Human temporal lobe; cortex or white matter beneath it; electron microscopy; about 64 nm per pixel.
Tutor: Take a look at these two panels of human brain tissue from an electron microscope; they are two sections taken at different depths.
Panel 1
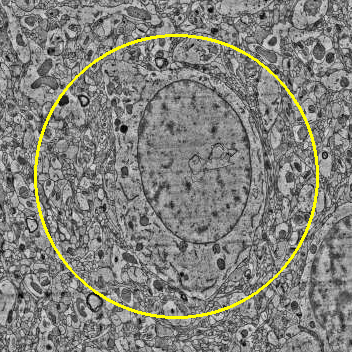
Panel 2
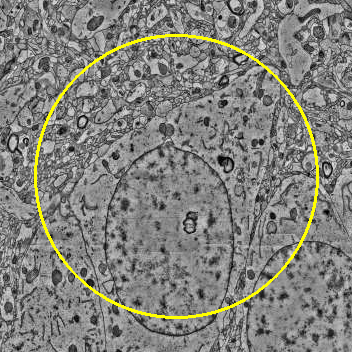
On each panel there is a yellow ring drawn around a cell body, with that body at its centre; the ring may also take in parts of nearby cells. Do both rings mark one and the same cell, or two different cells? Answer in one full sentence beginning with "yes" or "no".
No, it is two different cells that the rings mark.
